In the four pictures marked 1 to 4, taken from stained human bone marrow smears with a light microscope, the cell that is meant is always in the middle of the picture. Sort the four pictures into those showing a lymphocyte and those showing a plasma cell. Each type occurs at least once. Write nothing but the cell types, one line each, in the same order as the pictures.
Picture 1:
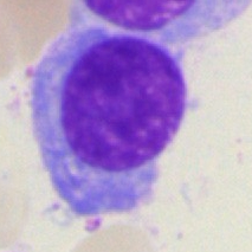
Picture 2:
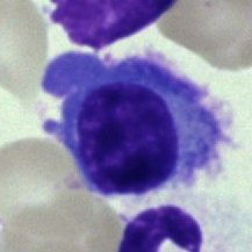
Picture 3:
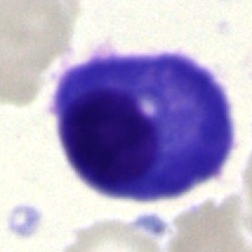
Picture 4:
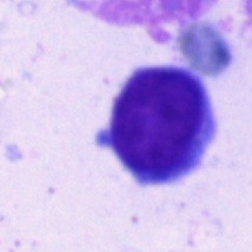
plasma cell
plasma cell
plasma cell
lymphocyte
